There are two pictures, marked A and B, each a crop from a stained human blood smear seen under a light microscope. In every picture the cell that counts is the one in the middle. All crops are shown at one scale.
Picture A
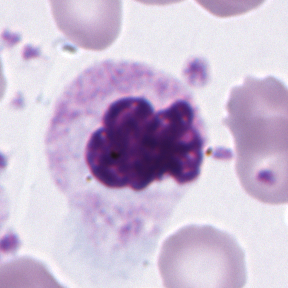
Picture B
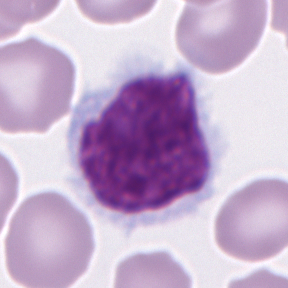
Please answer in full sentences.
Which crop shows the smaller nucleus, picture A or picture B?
It is the nucleus in picture A; the one in picture B has about 1.5 times its area.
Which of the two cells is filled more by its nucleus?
It is the cell in picture B that is filled more by its nucleus.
